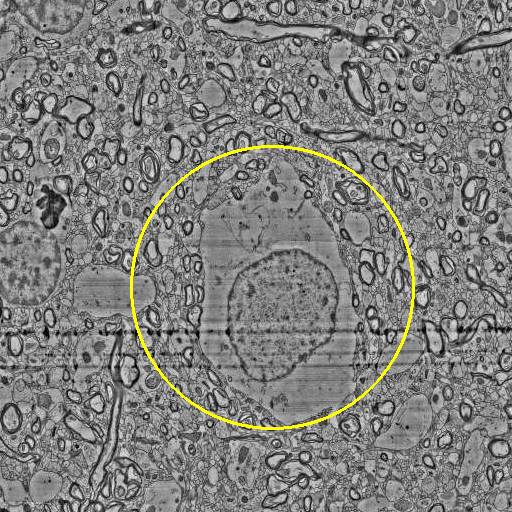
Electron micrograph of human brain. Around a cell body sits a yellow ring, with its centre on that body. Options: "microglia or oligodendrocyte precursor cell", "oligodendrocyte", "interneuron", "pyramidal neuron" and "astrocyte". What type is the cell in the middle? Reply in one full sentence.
The cell sitting at the centre of the yellow ring is an astrocyte.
